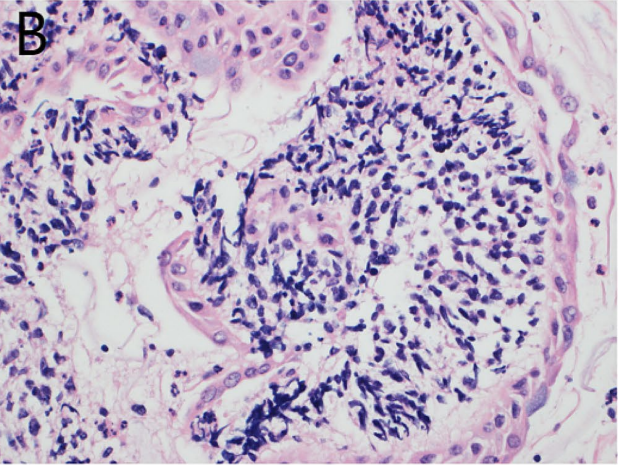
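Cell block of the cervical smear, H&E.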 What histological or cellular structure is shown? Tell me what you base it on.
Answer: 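Cambium layer. Densely packed dark nuclei crowd just beneath the epithelial lining. Cells are small with scant cytoplasm.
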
